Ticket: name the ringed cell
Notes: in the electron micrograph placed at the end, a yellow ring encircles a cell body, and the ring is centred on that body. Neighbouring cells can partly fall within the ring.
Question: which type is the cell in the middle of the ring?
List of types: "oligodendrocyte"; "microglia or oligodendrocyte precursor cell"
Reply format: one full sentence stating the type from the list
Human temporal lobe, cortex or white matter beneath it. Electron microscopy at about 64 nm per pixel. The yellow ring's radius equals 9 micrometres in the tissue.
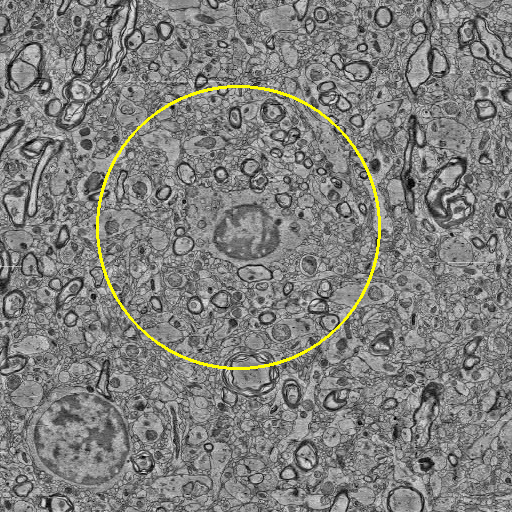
The cell sitting at the centre of the yellow ring is an oligodendrocyte.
